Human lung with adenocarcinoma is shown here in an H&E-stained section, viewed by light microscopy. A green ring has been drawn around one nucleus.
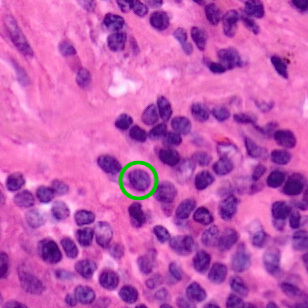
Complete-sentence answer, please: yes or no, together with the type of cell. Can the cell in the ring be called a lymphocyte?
Yes, correct on this one: the cell in the ring is a lymphocyte.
